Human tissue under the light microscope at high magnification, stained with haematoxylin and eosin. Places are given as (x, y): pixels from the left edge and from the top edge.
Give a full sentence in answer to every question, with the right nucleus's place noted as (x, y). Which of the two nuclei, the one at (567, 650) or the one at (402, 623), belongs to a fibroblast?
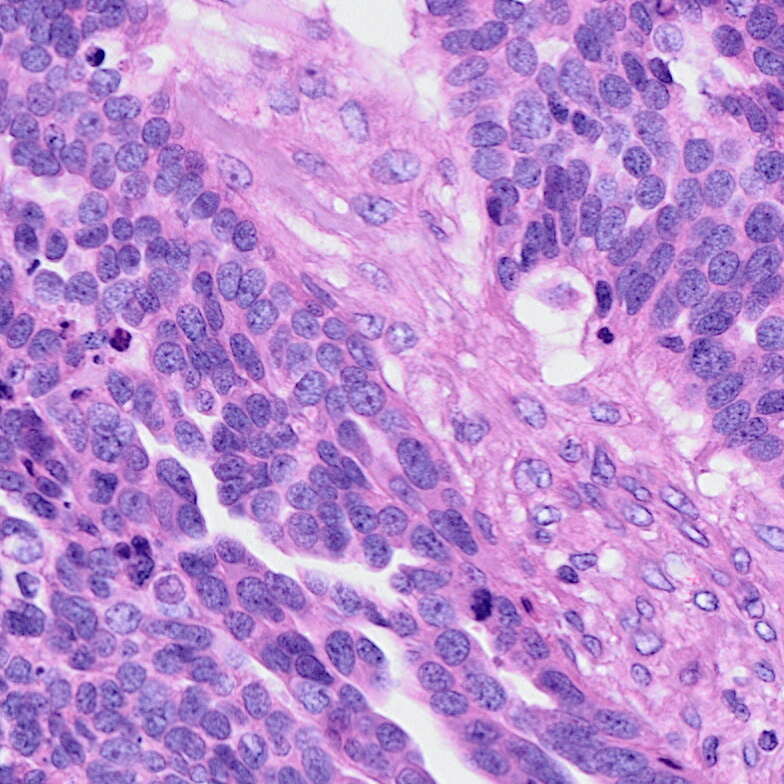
The nucleus that belongs to a fibroblast is located at (567, 650).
